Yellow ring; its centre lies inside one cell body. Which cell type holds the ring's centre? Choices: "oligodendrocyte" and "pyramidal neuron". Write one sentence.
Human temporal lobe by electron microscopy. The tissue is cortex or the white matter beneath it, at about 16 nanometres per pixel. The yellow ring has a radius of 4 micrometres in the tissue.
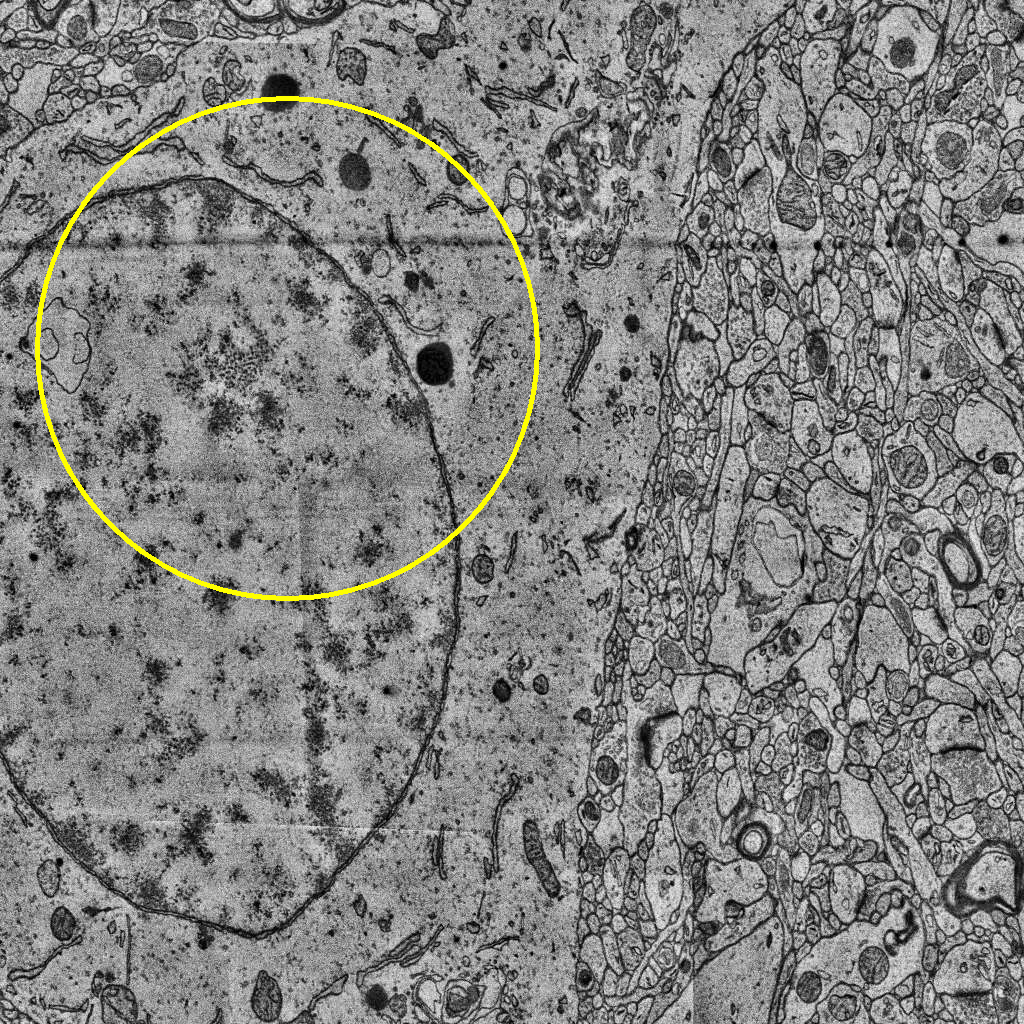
At the centre of the ring sits a pyramidal neuron.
